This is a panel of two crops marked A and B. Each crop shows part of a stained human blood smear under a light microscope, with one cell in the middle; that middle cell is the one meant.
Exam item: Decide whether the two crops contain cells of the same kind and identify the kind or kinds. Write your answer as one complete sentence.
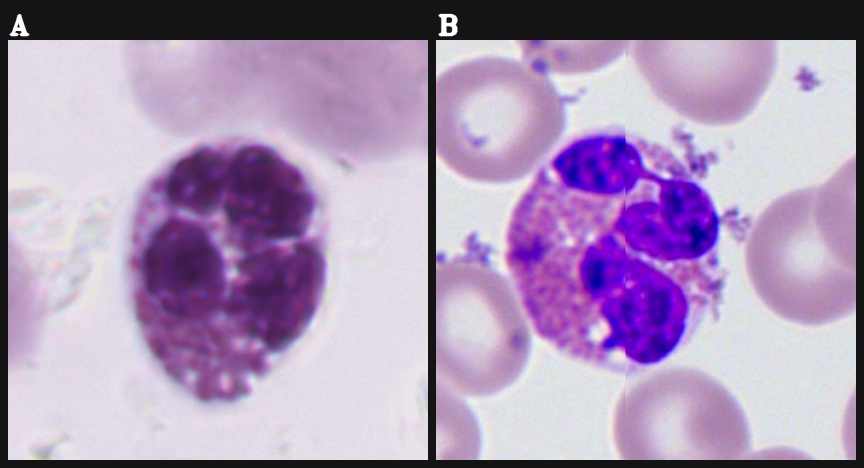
Yes, the two cells in the two crops are eosinophils.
